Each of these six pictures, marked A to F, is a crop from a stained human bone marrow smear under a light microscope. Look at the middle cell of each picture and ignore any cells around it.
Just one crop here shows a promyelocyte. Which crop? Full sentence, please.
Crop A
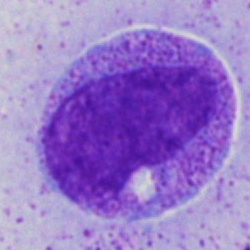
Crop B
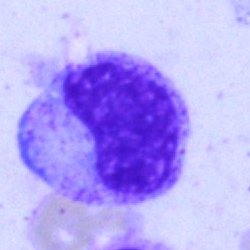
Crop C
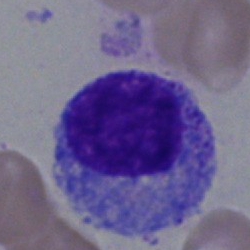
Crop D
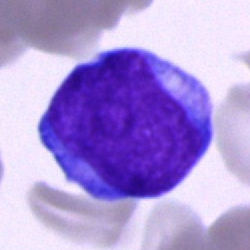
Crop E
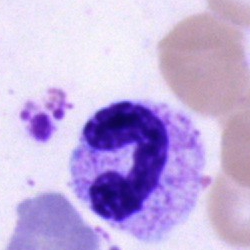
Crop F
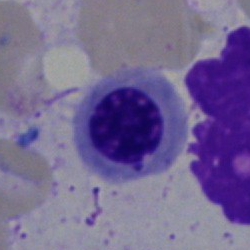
The crop in which a promyelocyte is shown is crop A.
